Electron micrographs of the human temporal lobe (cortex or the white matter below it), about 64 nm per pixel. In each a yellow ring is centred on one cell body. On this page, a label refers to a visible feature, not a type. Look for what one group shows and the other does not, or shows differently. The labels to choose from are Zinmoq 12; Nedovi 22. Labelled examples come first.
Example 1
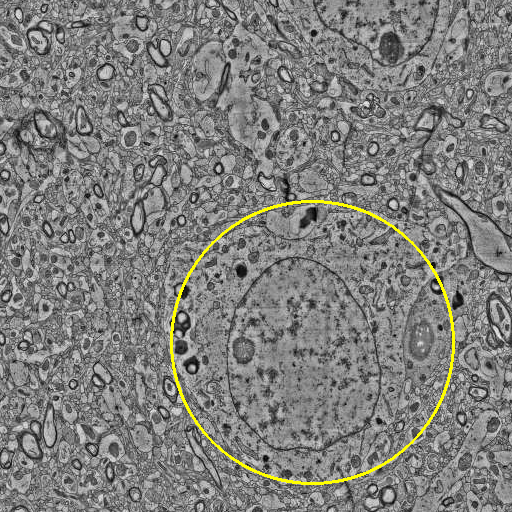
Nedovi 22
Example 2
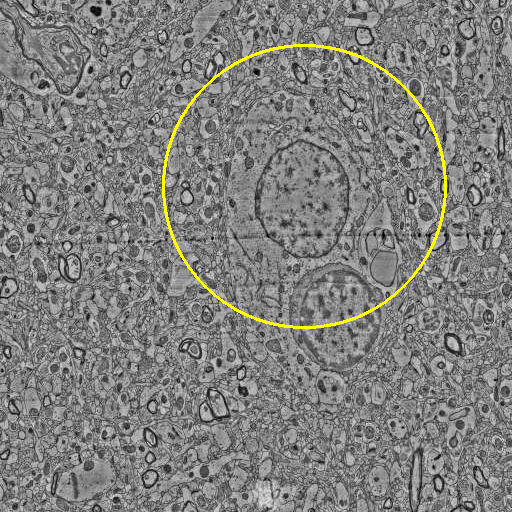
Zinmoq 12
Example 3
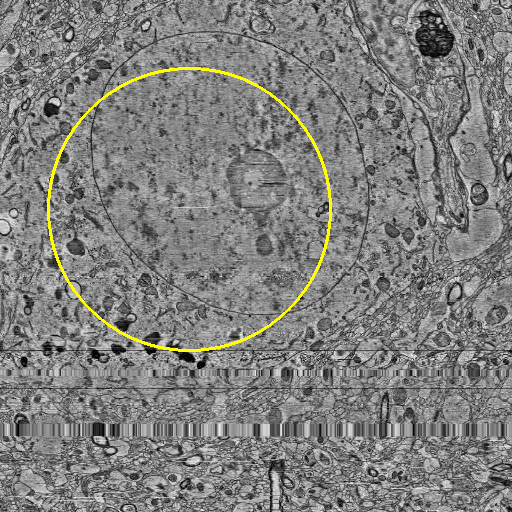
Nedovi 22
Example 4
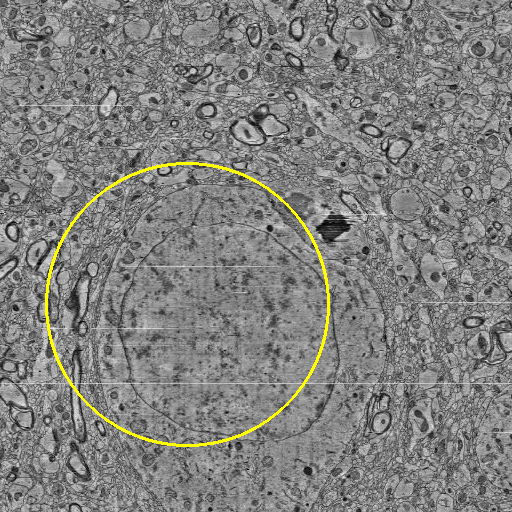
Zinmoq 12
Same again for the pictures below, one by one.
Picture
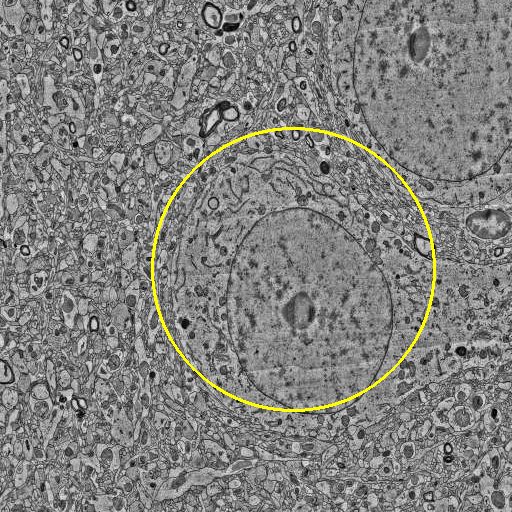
Nedovi 22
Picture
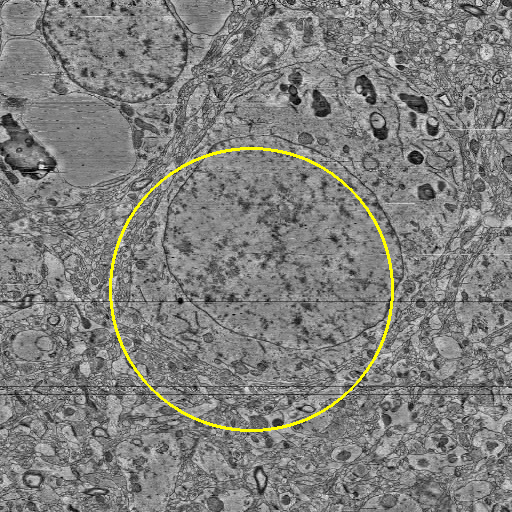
Zinmoq 12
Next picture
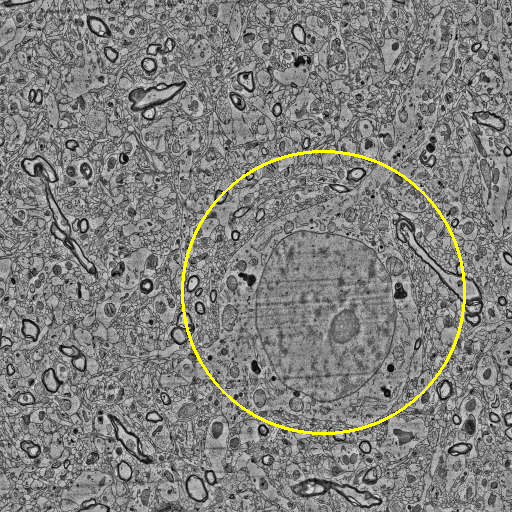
Nedovi 22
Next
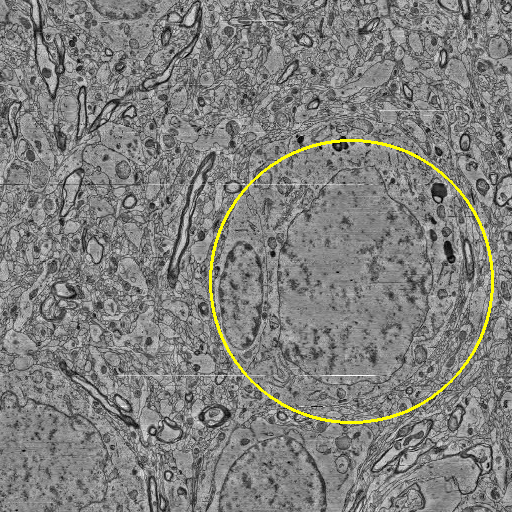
Zinmoq 12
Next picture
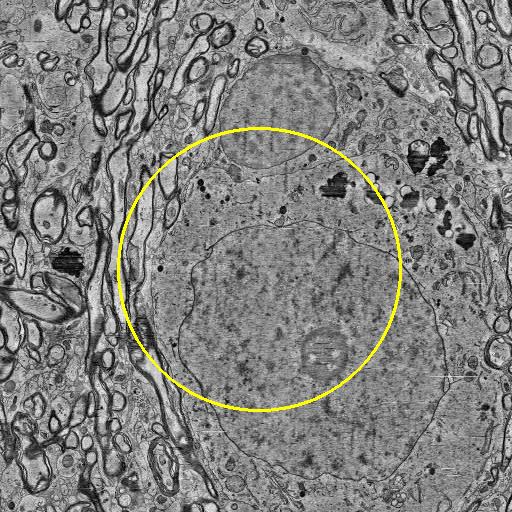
Nedovi 22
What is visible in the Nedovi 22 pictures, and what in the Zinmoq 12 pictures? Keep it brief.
Nedovi 22, nucleolus seen; Zinmoq 12, no nucleolus seen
